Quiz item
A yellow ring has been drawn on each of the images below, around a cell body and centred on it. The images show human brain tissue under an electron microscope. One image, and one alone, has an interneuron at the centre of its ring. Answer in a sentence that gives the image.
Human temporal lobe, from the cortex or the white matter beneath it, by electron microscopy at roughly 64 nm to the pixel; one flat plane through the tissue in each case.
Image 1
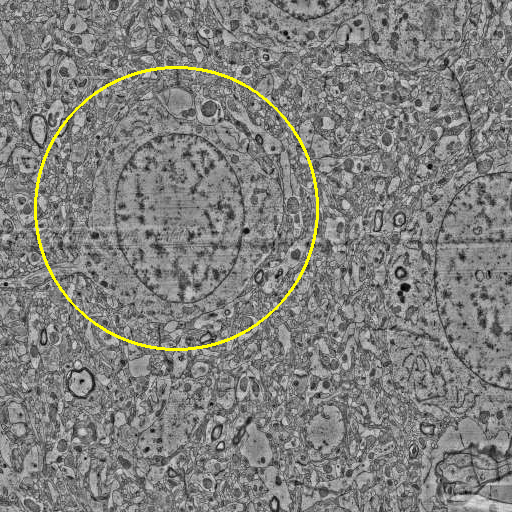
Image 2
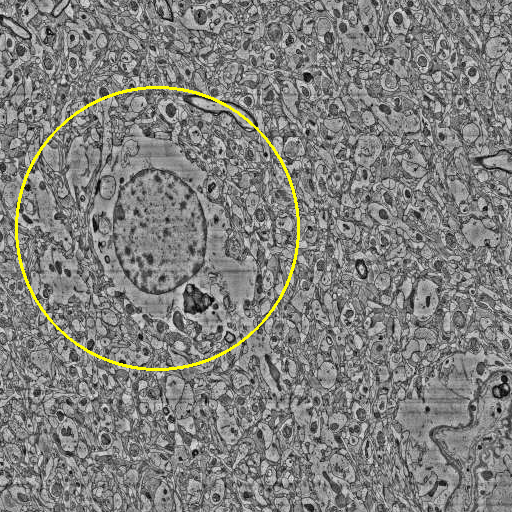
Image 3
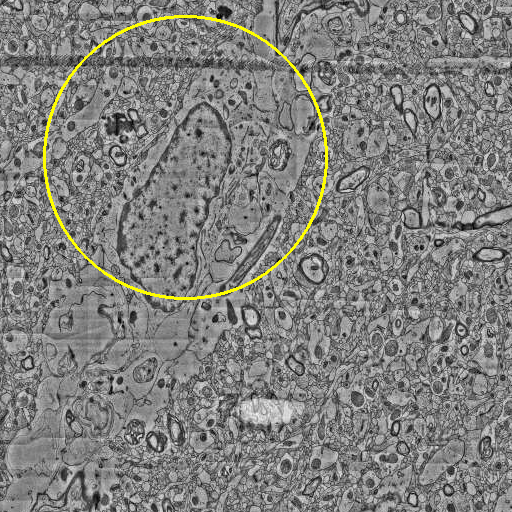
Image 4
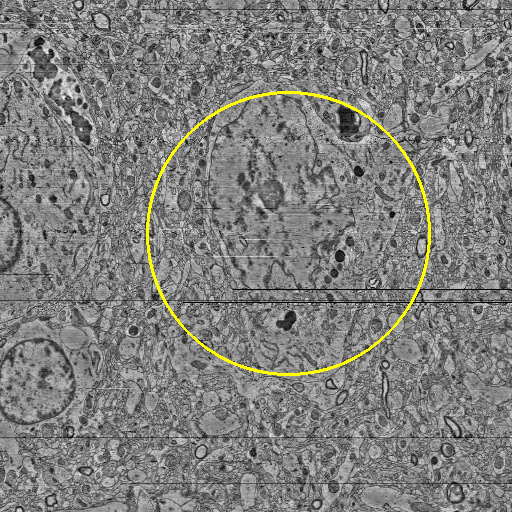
Image 4 shows it at the centre of the ring.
